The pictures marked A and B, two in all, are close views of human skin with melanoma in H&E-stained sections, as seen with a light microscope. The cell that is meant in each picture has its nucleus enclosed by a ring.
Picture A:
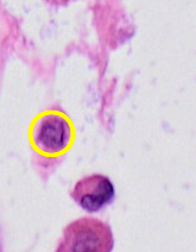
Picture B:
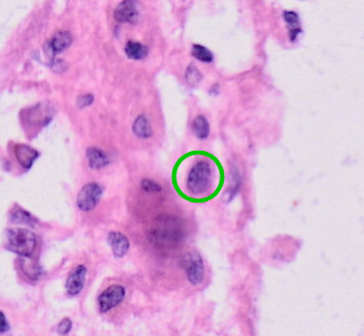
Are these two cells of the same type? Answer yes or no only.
yes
